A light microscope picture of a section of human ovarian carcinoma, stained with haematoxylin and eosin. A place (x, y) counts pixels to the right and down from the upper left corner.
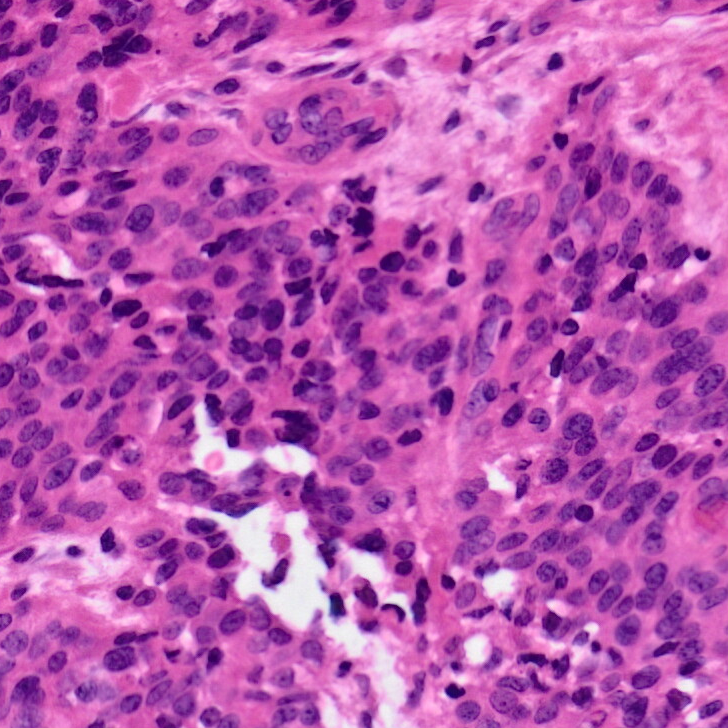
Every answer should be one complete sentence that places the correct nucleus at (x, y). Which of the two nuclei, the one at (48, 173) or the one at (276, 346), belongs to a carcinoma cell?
The nucleus of a carcinoma cell lies at (276, 346), not at the other position.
